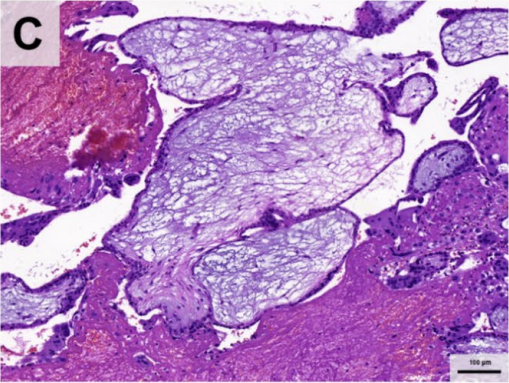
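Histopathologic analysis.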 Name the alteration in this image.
Villous edema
